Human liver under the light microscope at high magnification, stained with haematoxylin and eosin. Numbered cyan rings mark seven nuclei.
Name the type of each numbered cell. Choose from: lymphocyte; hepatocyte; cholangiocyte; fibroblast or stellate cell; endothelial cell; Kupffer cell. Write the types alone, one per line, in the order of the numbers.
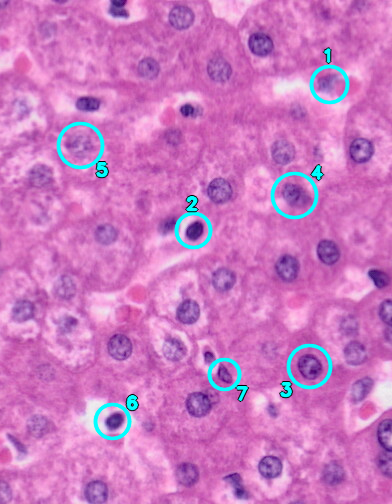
endothelial cell
lymphocyte
hepatocyte
endothelial cell
hepatocyte
lymphocyte
fibroblast or stellate cell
